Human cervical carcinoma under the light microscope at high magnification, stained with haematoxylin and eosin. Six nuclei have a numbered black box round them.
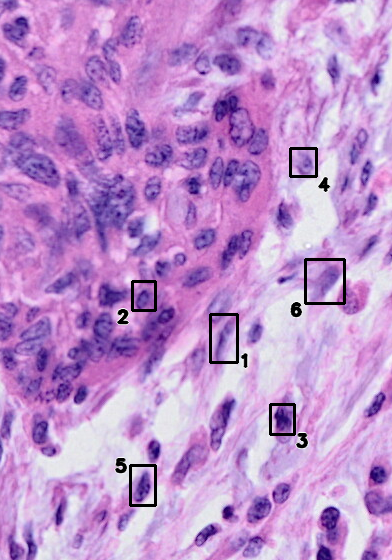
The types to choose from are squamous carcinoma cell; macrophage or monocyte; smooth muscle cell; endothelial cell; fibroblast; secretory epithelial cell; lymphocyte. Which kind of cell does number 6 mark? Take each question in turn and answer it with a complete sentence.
The expected answer is that cell 6 is a fibroblast.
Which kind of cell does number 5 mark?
The cell assigned the number 5 is a lymphocyte.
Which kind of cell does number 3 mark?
The correct label for cell 3 is a lymphocyte.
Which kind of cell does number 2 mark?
What the number 2 marks in this field is a squamous carcinoma cell.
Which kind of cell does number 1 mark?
Classified as a fibroblast is the cell with the number 1.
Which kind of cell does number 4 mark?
Looking at the numbered marks, cell 4 is a fibroblast.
